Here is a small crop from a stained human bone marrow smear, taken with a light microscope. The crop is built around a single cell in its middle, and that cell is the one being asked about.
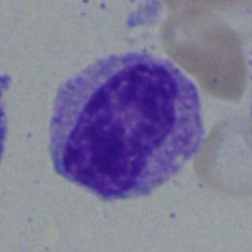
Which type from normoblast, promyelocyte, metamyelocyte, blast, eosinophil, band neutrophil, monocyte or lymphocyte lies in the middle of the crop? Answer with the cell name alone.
metamyelocyte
